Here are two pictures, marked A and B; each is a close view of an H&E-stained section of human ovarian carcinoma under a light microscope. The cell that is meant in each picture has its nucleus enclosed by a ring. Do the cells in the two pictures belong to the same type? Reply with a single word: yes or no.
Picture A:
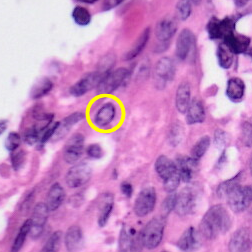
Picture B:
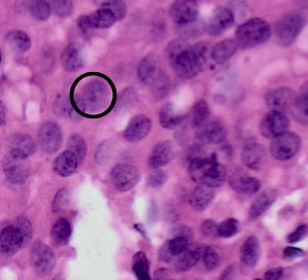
no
